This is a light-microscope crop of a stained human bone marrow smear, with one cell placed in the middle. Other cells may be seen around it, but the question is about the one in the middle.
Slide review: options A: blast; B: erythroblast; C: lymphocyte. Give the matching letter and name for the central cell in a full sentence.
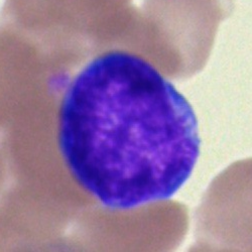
Identified correctly by option A, the cell in the middle is a blast.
